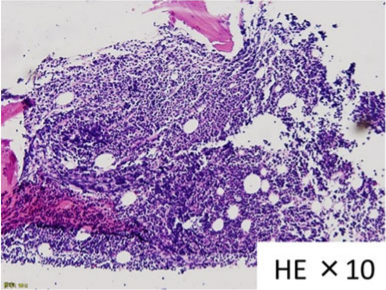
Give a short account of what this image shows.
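At low power the marrow is hypercellular, with blue-staining cells spreading diffusely across the whole space. Fat vacuoles are few and small, and pink bone trabeculae border the cellular marrow.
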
